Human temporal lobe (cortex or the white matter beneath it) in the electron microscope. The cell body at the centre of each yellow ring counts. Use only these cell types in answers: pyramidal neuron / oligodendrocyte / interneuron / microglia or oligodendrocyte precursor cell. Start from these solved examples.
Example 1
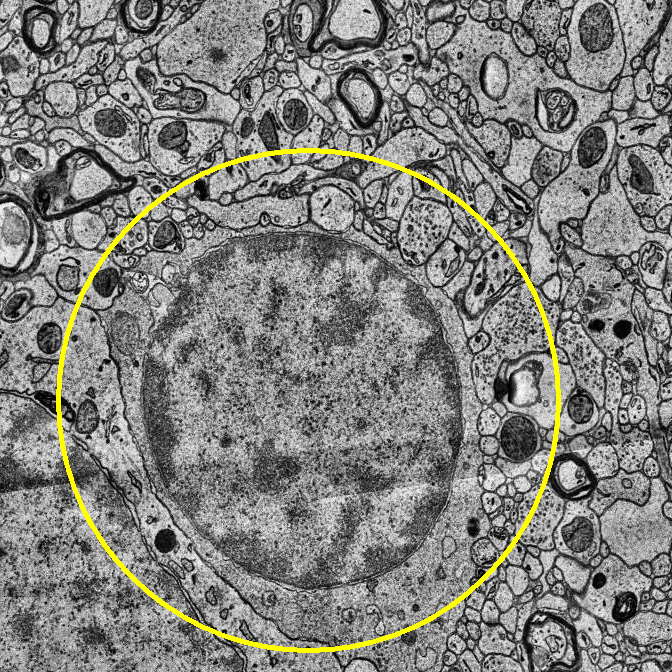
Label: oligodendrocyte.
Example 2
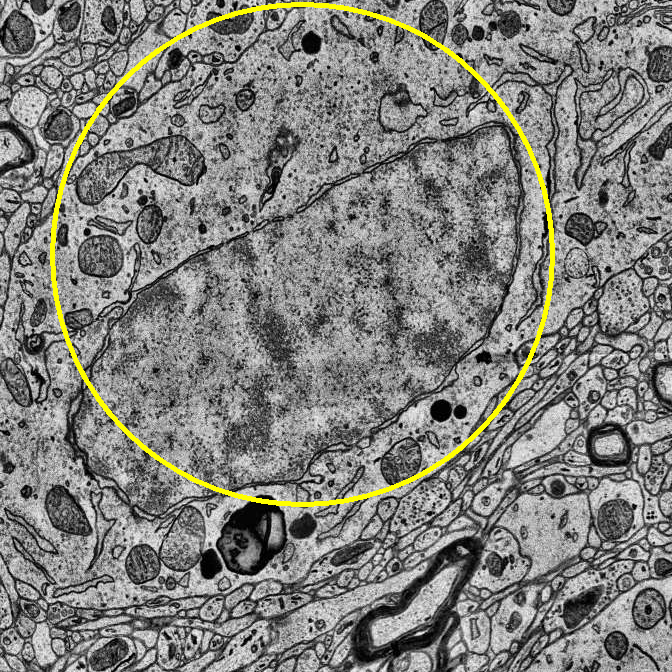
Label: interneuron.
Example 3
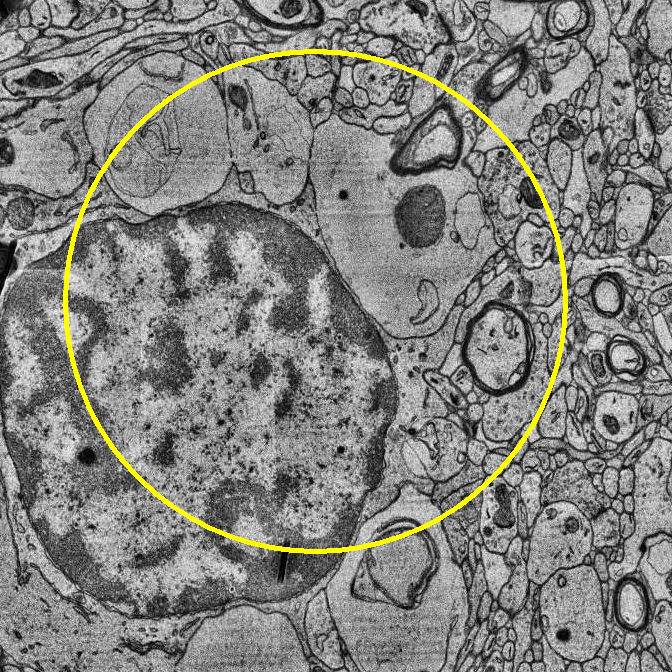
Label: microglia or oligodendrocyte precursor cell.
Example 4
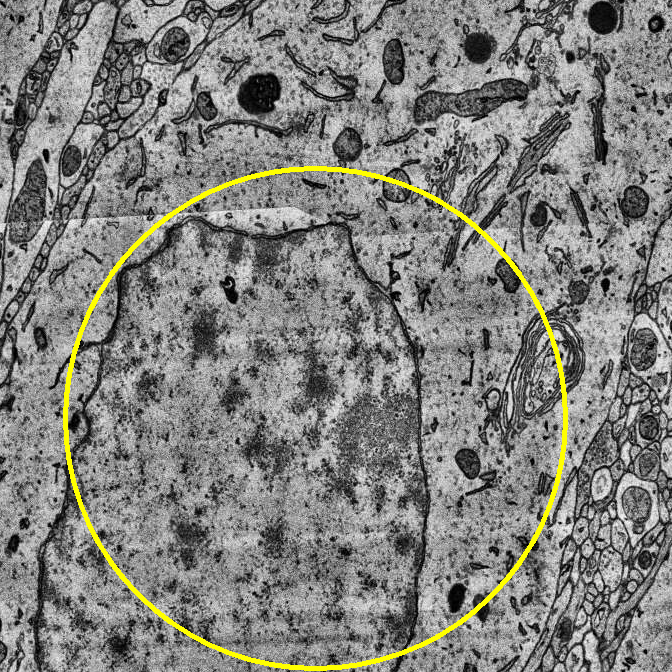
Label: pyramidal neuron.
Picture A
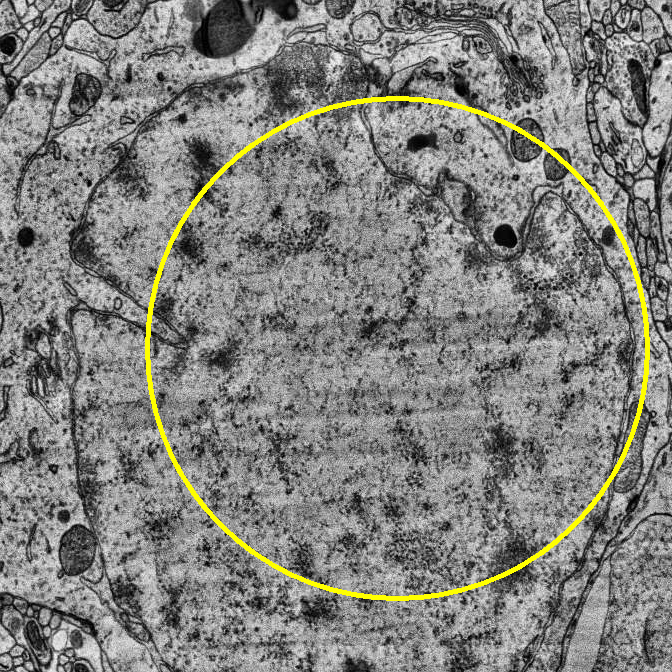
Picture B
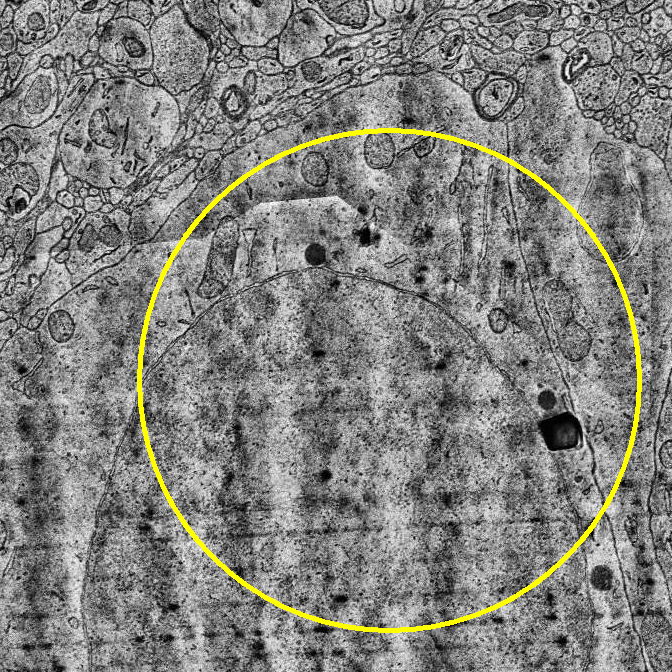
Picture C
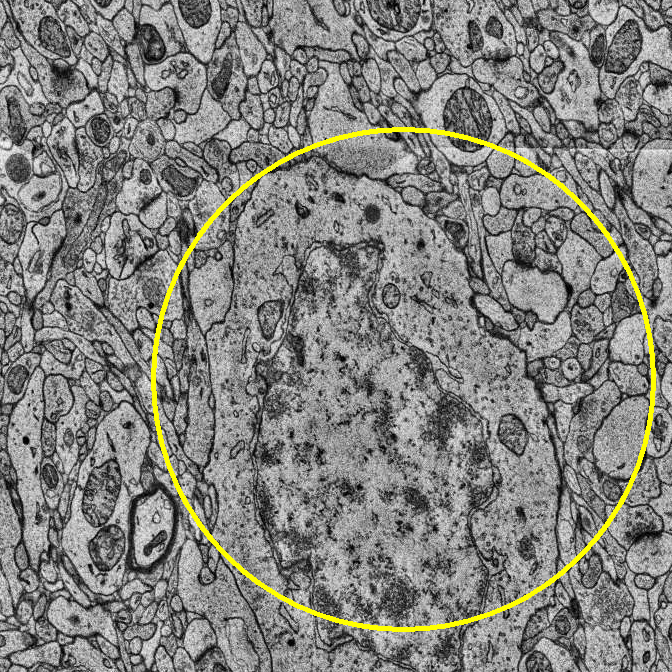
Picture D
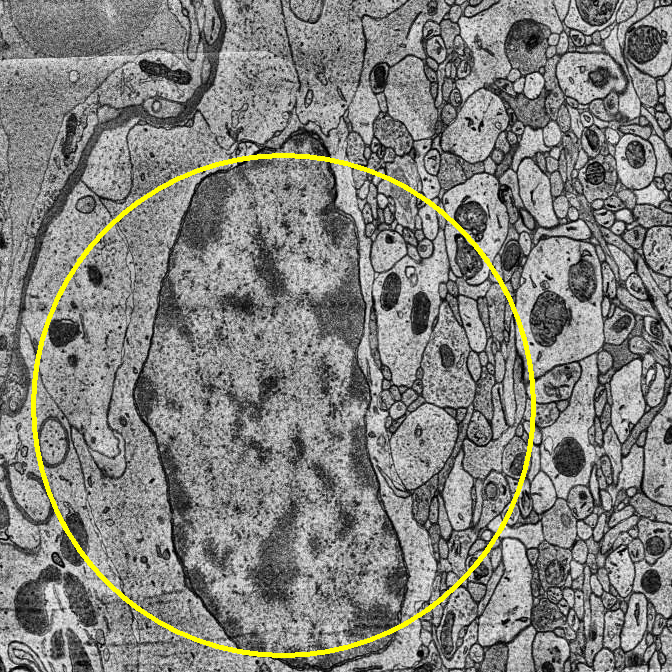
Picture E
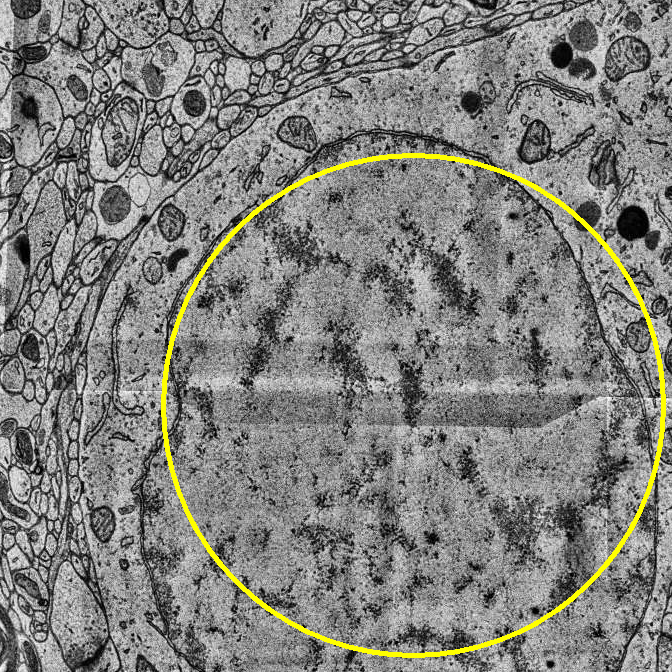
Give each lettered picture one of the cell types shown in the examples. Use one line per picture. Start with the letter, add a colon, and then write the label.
A: interneuron.
B: pyramidal neuron.
C: interneuron.
D: microglia or oligodendrocyte precursor cell.
E: pyramidal neuron.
